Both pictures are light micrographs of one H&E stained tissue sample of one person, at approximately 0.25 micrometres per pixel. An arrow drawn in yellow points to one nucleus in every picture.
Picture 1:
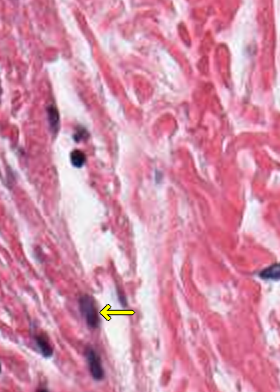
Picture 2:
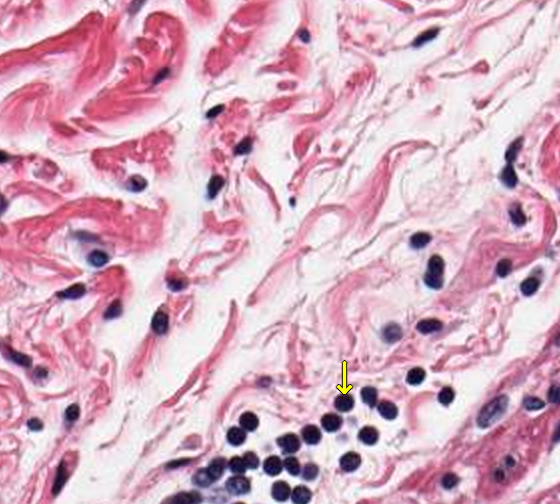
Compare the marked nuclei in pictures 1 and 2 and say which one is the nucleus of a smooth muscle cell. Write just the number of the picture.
1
